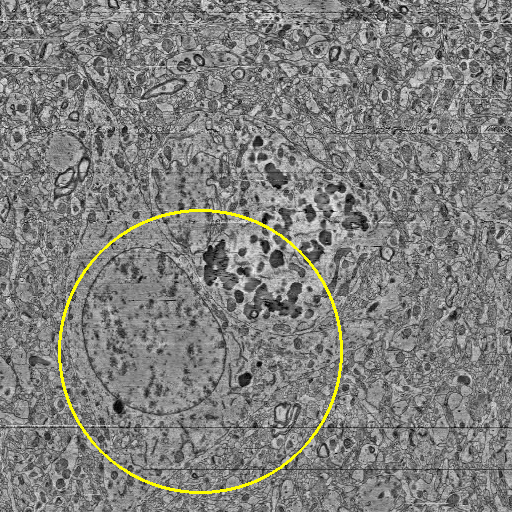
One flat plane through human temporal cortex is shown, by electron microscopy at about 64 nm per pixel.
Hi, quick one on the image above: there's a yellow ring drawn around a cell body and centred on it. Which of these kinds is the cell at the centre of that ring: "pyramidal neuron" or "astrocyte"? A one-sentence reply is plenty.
The cell at the centre of the ring is a pyramidal neuron.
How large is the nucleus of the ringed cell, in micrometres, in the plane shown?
Roughly 11 micrometres by 9 micrometres, in this plane.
